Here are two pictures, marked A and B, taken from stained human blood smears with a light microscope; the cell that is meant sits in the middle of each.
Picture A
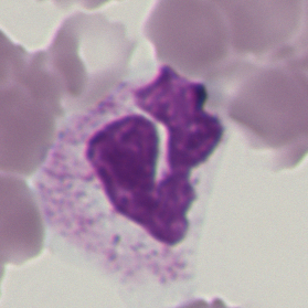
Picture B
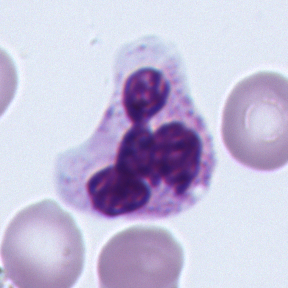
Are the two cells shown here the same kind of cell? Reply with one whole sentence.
Yes, both cells are segmented neutrophils.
